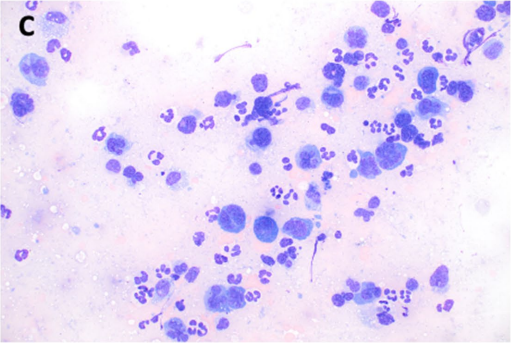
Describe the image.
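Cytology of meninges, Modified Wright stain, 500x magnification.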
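The neutrophils are small, with segmented dark purple nuclei and pale cytoplasm. The large round cells have a high nuclear-to-cytoplasmic ratio, irregular to lobulated nuclei and a rim of medium to deep blue cytoplasm, consistent with neoplastic large lymphocytes. The cells lie singly and scattered on a pale pink background.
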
